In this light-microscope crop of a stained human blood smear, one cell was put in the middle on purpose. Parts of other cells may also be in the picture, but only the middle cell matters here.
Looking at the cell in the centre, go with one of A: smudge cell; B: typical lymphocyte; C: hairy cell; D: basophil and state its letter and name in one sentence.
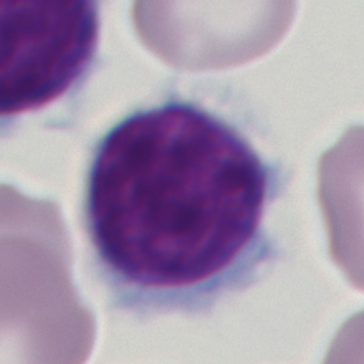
The middle of the crop holds a hairy cell, which points to option C.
